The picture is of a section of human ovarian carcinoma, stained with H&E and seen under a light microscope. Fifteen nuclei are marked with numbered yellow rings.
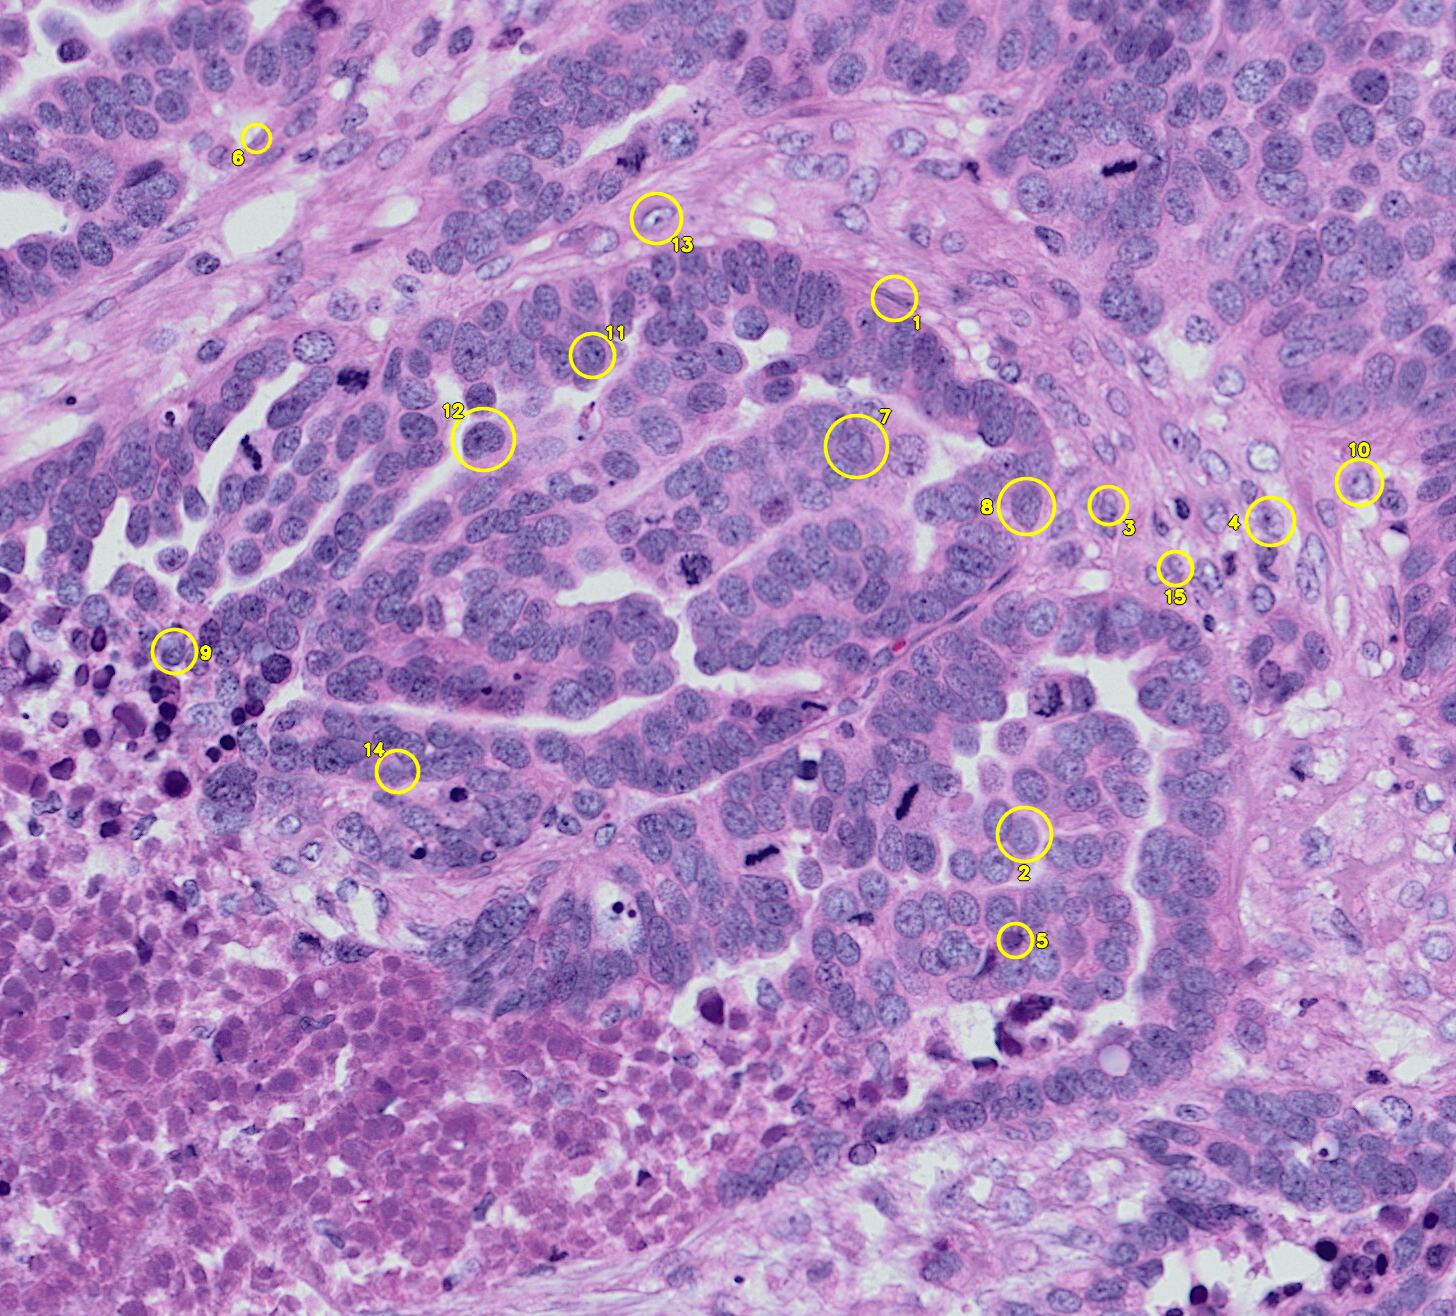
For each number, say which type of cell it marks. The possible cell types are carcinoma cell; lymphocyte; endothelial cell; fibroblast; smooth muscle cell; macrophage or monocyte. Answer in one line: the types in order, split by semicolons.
fibroblast; carcinoma cell; fibroblast; fibroblast; carcinoma cell; fibroblast; carcinoma cell; carcinoma cell; carcinoma cell; fibroblast; carcinoma cell; carcinoma cell; fibroblast; carcinoma cell; fibroblast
